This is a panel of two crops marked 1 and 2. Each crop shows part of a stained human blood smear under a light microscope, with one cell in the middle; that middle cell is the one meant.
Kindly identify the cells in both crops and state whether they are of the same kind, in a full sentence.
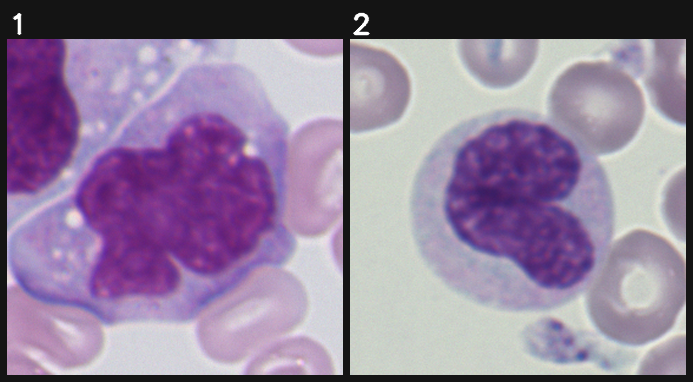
No, crop 1 carries a monocyte at its centre, and crop 2 carries a band neutrophil.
